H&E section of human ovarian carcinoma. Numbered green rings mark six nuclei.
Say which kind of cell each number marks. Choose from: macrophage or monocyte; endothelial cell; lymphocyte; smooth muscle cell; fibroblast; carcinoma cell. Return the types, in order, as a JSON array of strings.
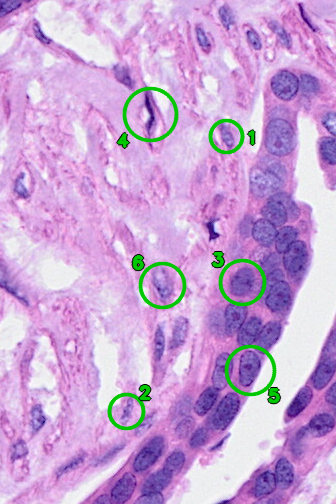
["fibroblast", "fibroblast", "carcinoma cell", "fibroblast", "carcinoma cell", "fibroblast"]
